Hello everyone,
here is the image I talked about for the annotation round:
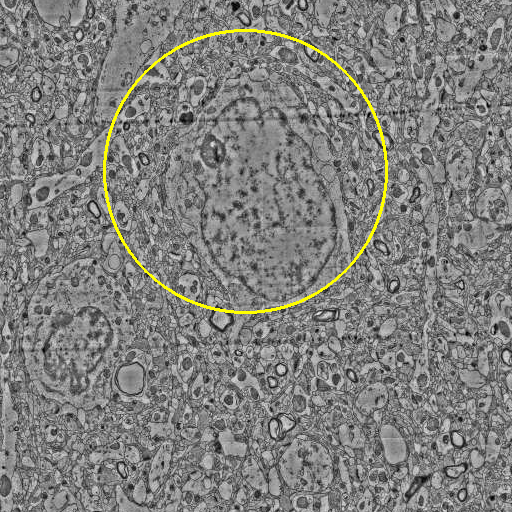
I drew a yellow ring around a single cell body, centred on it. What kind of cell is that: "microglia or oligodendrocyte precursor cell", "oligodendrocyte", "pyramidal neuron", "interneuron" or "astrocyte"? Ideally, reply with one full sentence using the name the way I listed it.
The cell your yellow ring is centred on is an interneuron, going by your list.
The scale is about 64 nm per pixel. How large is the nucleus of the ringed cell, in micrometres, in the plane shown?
About 13 by 9 micrometers in this plane, so the nucleus is clearly longer than it is wide.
